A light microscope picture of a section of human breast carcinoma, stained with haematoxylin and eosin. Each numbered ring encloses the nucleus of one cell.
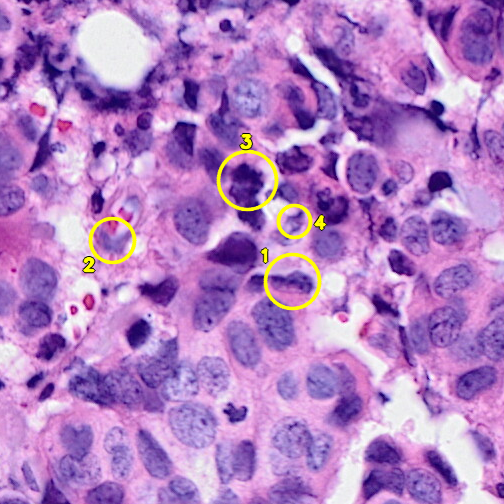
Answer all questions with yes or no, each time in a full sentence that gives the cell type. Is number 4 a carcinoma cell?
Yes, the cell pointed out as number 4 is a carcinoma cell.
